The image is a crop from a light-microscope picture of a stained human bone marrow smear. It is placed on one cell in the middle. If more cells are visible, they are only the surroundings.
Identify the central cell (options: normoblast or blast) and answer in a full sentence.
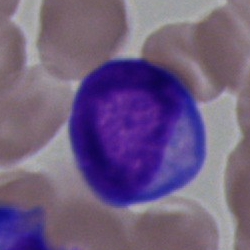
In the crop, the cell of interest at the centre is a blast.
